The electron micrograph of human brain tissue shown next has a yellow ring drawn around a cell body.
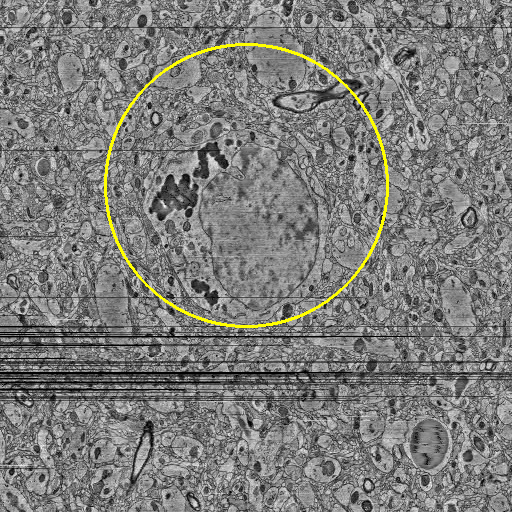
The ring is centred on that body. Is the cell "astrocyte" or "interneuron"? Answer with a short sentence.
The cell in question is an interneuron.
